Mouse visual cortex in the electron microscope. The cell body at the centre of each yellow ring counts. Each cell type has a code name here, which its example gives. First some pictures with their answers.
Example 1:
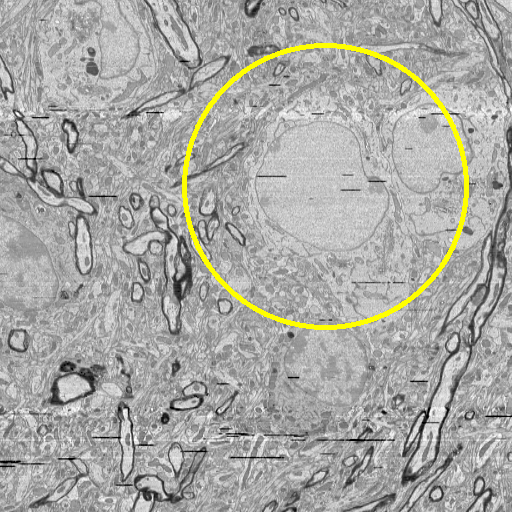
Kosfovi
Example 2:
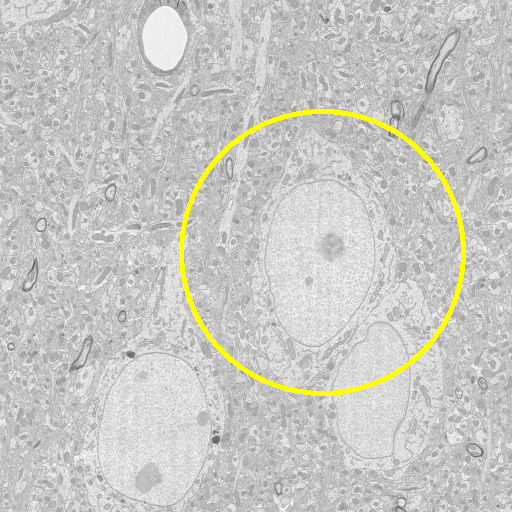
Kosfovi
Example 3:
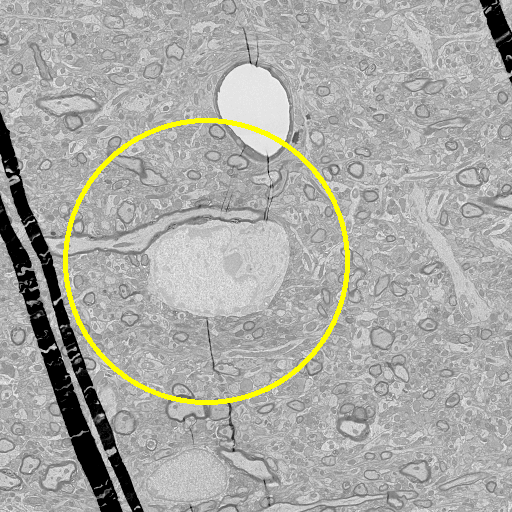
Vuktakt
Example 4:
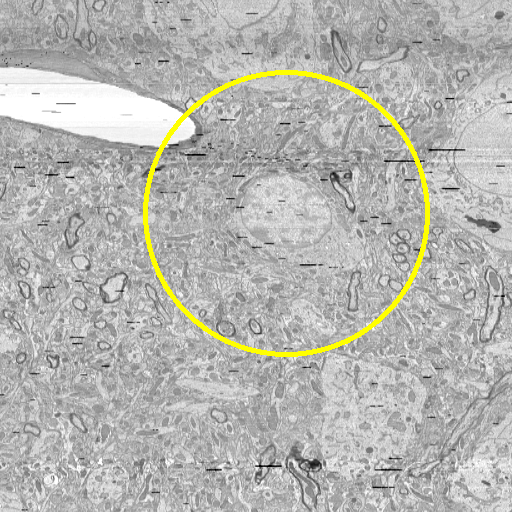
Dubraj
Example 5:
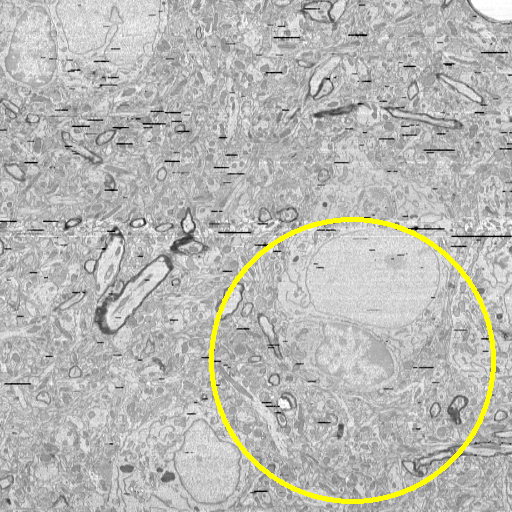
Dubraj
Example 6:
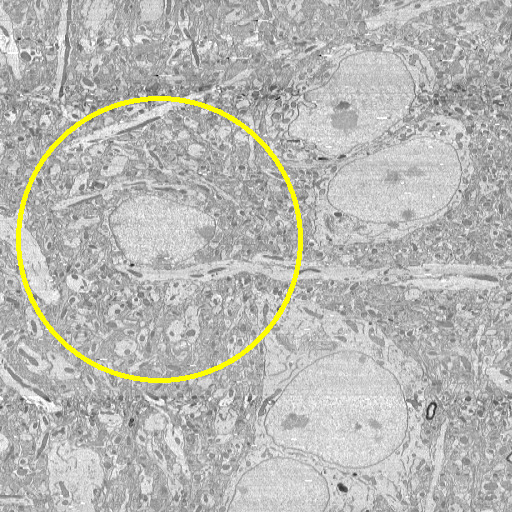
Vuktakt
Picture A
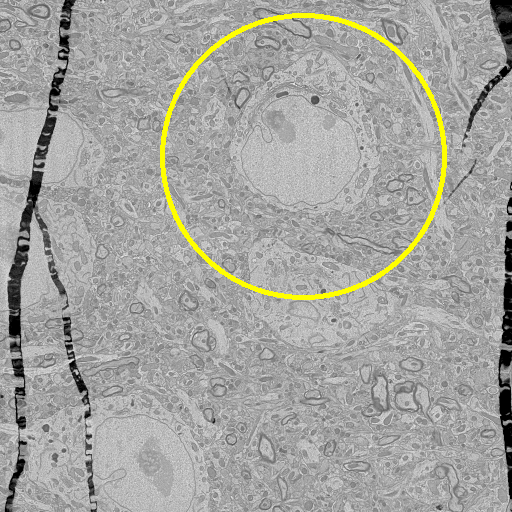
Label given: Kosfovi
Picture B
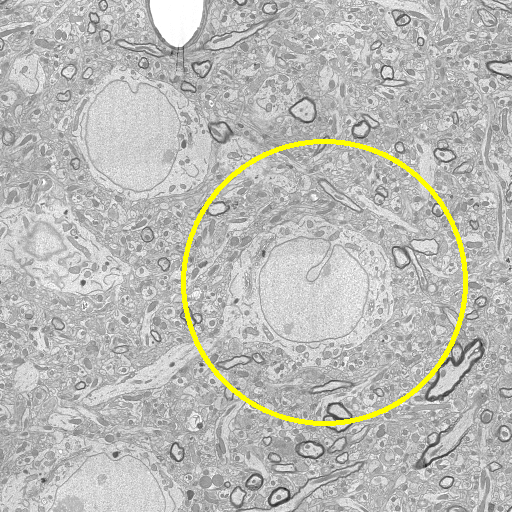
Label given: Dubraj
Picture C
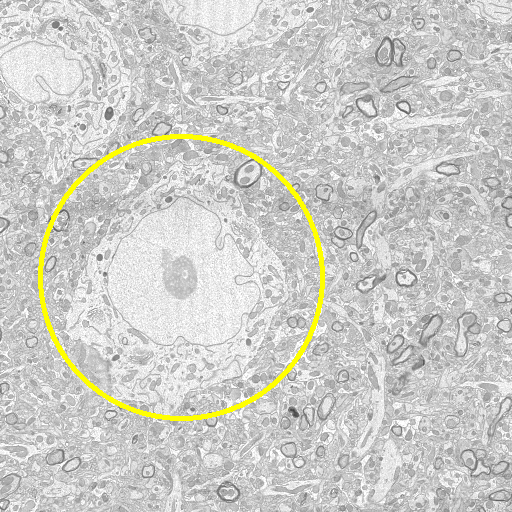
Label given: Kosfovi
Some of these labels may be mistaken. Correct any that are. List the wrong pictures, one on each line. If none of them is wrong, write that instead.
B: Kosfovi, not Dubraj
